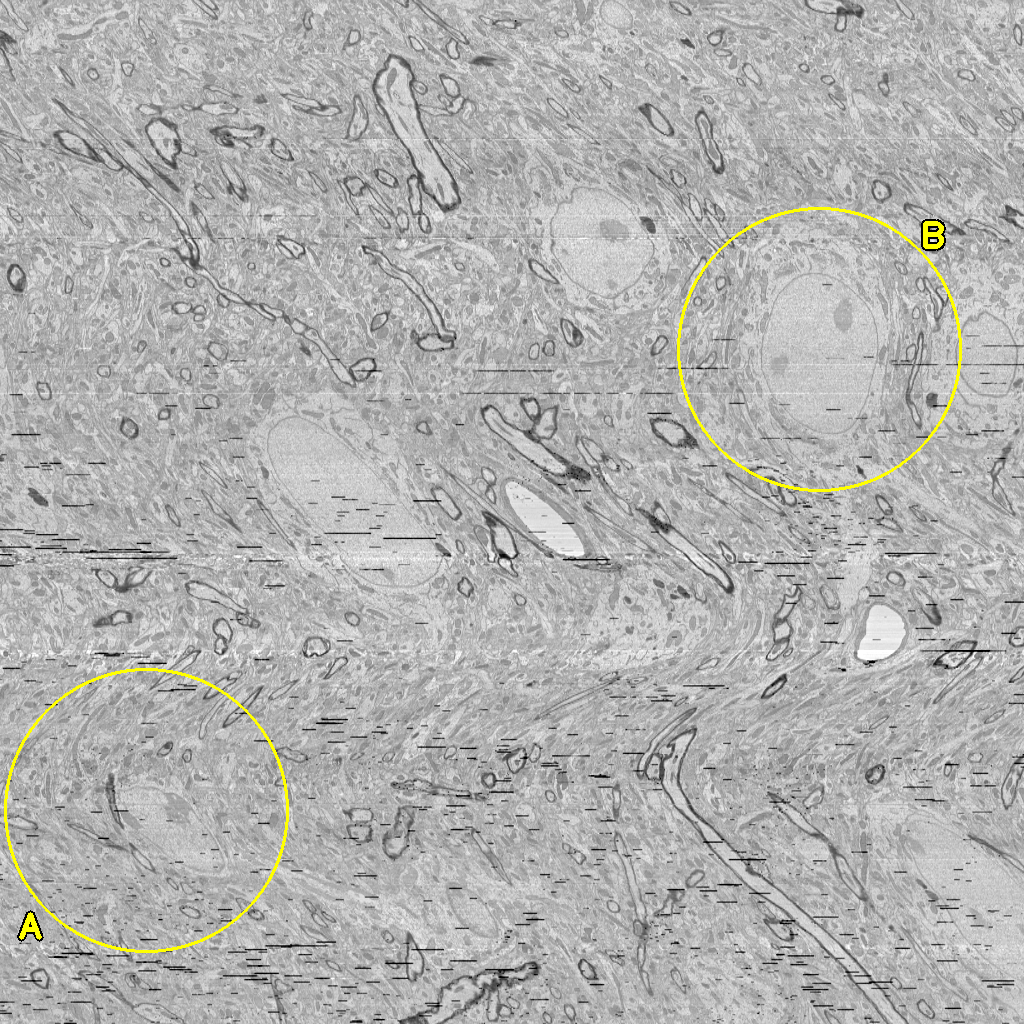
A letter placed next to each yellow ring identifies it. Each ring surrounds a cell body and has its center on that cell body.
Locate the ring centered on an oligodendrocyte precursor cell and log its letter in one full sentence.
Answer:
Ring A has at its center the cell that the task asks for.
